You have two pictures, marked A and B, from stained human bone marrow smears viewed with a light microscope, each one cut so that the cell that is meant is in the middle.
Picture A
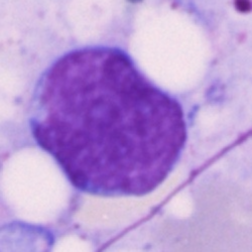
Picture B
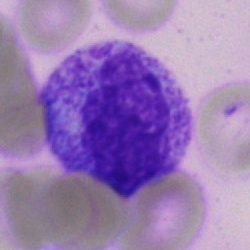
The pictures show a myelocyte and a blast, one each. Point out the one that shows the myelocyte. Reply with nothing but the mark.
B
